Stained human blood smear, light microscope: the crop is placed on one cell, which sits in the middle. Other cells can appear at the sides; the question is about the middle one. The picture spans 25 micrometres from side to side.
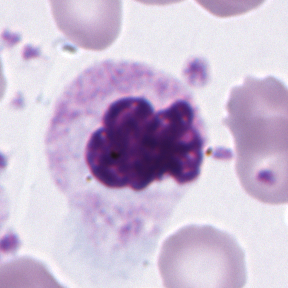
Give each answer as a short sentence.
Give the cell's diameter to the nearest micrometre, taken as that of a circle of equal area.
The diameter of the cell comes to about 14 micrometres.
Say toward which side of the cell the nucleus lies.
Toward the right of the cell lies its nucleus.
